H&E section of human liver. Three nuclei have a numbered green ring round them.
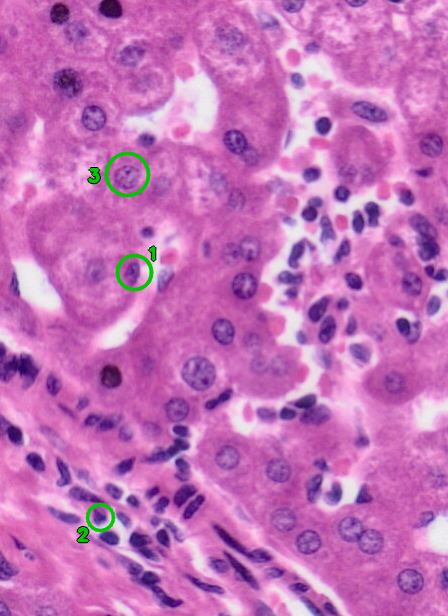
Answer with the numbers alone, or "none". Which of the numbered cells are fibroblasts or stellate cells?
1, 2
